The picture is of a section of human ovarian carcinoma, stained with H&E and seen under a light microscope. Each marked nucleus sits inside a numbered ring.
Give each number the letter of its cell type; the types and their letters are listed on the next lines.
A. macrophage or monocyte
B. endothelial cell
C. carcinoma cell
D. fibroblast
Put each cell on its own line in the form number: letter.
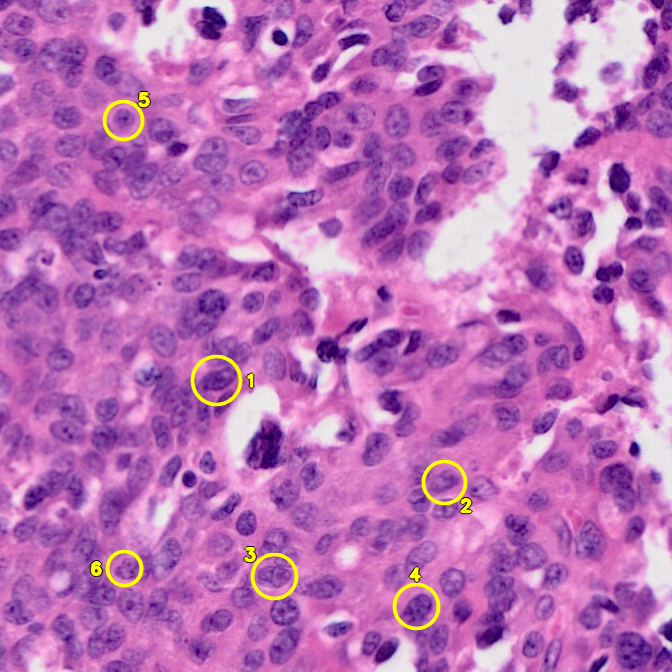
1: C
2: C
3: C
4: C
5: A
6: A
